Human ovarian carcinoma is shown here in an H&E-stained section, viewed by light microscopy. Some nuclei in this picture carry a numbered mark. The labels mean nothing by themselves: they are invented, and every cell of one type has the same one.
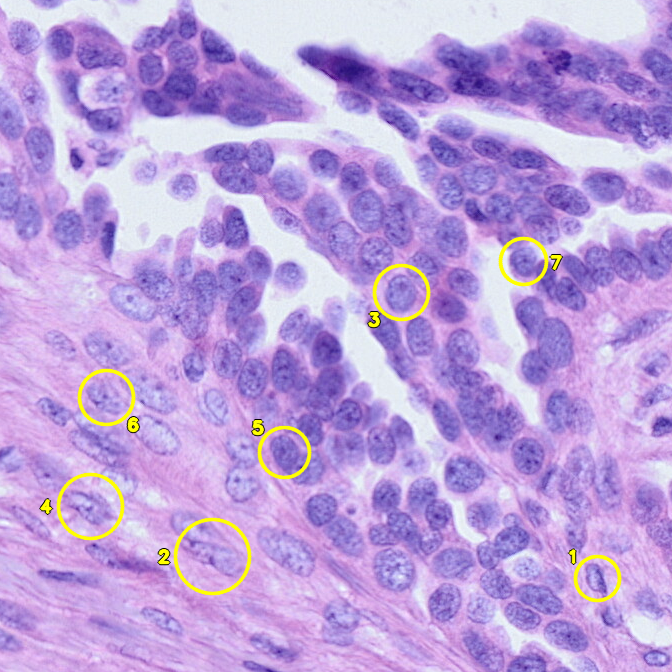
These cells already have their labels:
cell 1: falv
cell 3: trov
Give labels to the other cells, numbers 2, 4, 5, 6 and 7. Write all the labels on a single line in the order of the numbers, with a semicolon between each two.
falv; falv; trov; falv; trov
